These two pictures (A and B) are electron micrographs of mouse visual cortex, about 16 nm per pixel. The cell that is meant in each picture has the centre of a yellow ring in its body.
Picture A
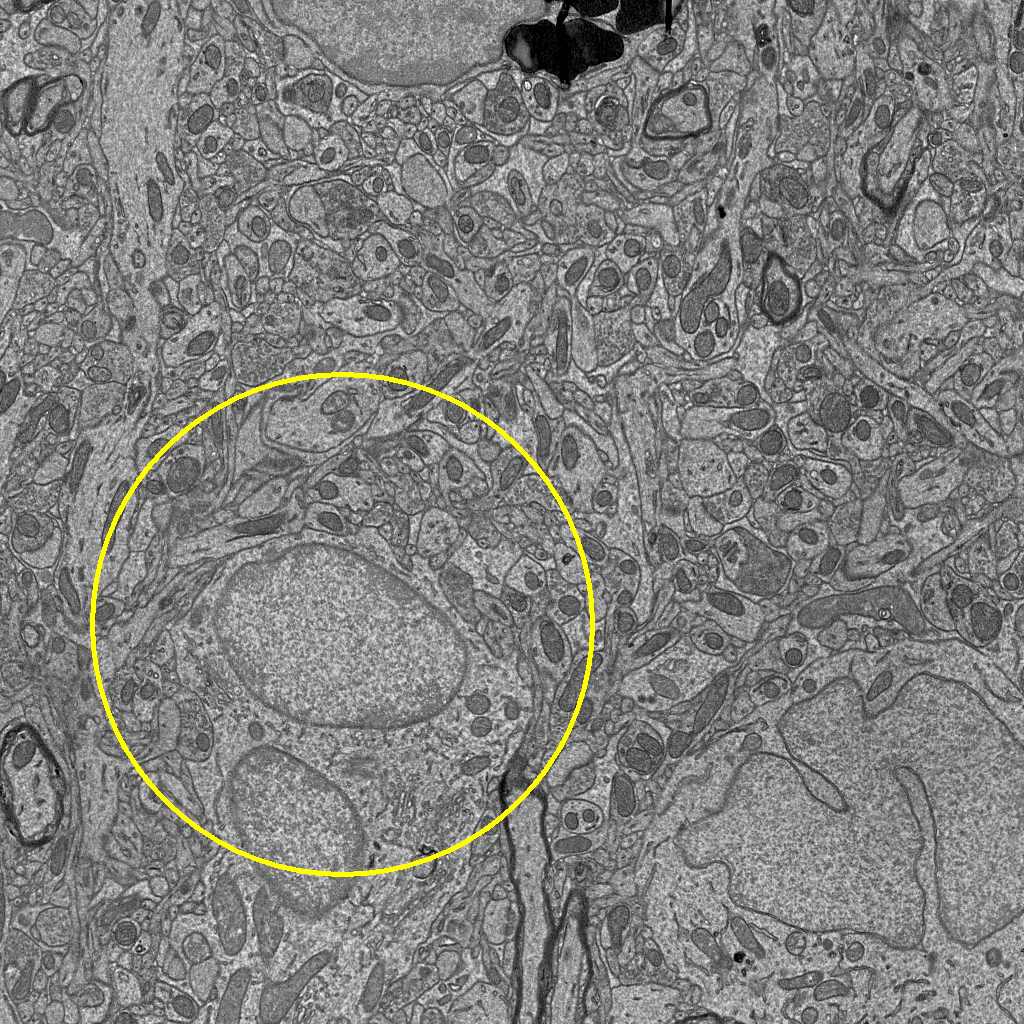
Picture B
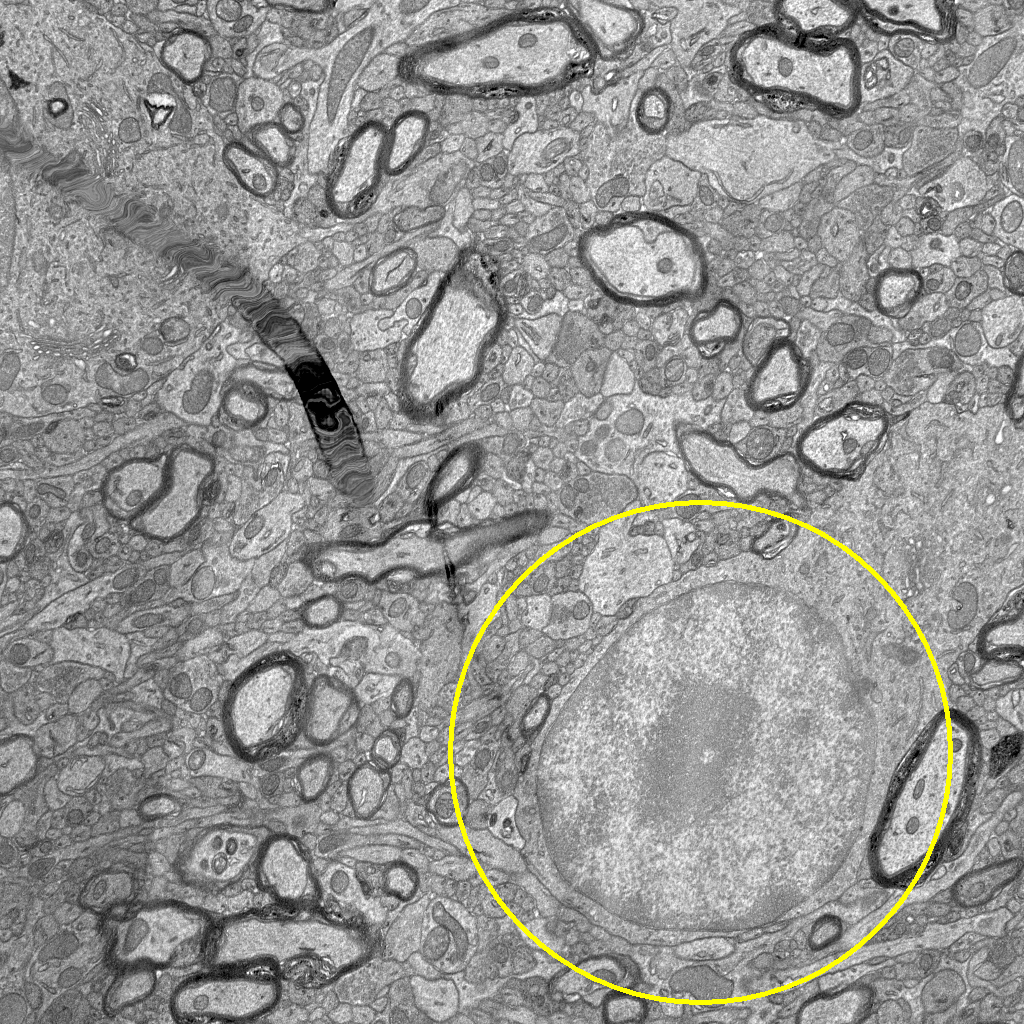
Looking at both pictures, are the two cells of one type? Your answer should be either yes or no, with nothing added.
no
